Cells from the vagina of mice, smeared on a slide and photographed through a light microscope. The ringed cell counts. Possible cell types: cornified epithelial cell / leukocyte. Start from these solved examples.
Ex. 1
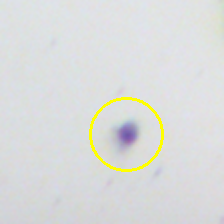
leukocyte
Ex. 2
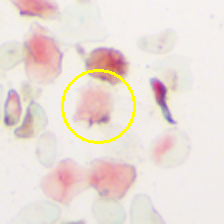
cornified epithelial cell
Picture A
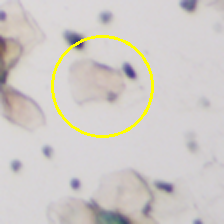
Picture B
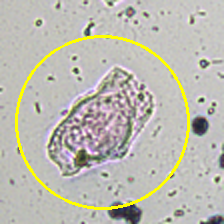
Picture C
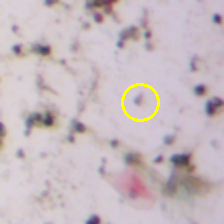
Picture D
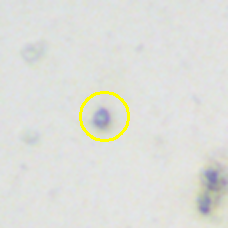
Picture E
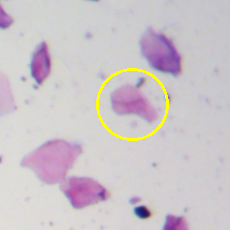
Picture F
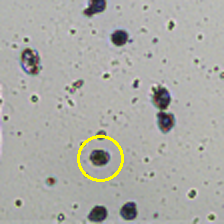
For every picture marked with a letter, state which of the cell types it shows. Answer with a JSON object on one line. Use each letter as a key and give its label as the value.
{"A": "cornified epithelial cell", "B": "cornified epithelial cell", "C": "leukocyte", "D": "leukocyte", "E": "cornified epithelial cell", "F": "leukocyte"}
